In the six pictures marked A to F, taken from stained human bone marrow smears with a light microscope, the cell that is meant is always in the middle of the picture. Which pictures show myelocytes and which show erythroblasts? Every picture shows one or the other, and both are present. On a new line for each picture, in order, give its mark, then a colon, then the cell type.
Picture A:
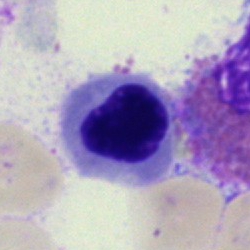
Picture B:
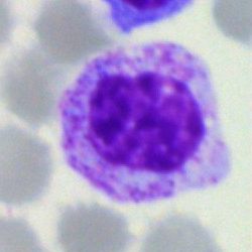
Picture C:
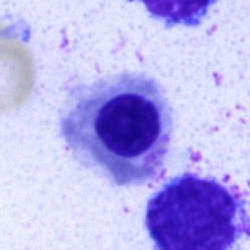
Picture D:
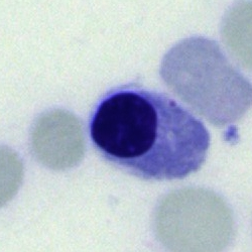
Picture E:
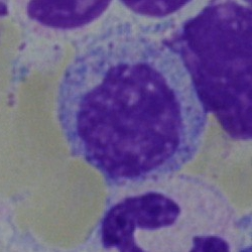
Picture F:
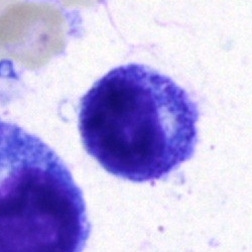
A: erythroblast
B: myelocyte
C: erythroblast
D: erythroblast
E: myelocyte
F: myelocyte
